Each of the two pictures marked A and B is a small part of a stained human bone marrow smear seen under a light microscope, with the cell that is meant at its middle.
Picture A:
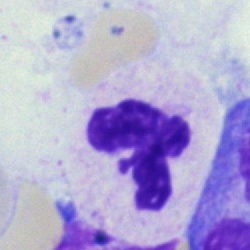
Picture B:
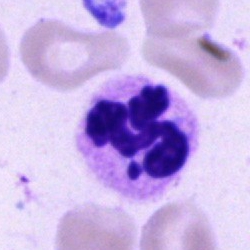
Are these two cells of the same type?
yes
